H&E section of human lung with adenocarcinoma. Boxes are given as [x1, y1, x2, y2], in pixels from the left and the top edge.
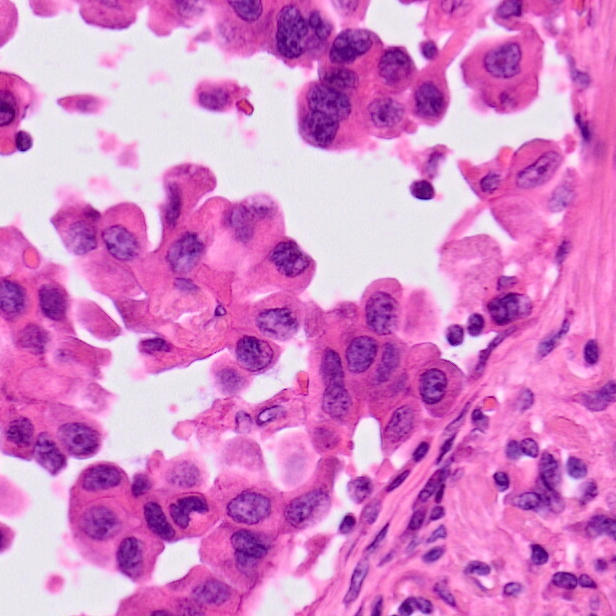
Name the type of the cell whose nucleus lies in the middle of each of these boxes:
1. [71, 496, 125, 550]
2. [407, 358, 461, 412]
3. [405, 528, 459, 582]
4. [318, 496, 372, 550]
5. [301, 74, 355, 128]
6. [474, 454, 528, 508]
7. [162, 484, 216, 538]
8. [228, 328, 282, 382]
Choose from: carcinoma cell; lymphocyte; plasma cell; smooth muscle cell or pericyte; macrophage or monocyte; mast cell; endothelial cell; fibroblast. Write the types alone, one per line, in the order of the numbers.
carcinoma cell
carcinoma cell
lymphocyte
lymphocyte
carcinoma cell
lymphocyte
carcinoma cell
carcinoma cell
